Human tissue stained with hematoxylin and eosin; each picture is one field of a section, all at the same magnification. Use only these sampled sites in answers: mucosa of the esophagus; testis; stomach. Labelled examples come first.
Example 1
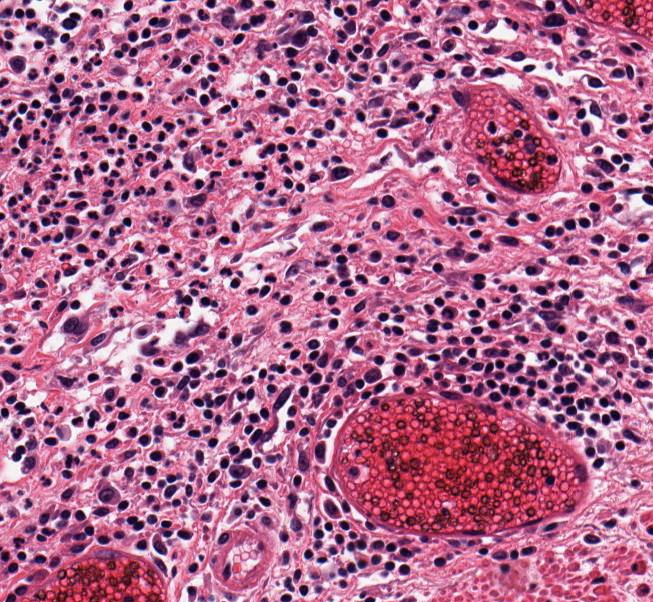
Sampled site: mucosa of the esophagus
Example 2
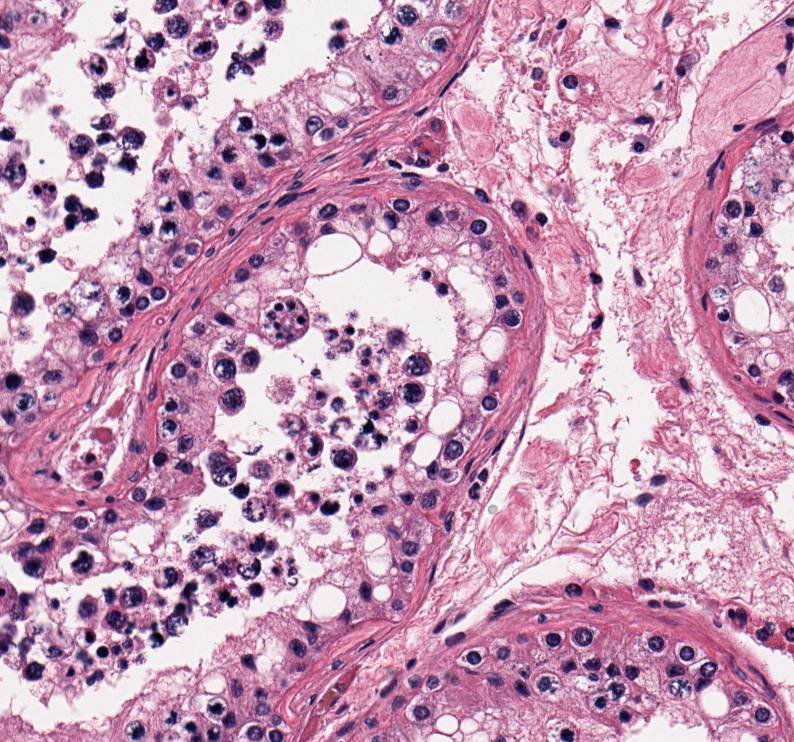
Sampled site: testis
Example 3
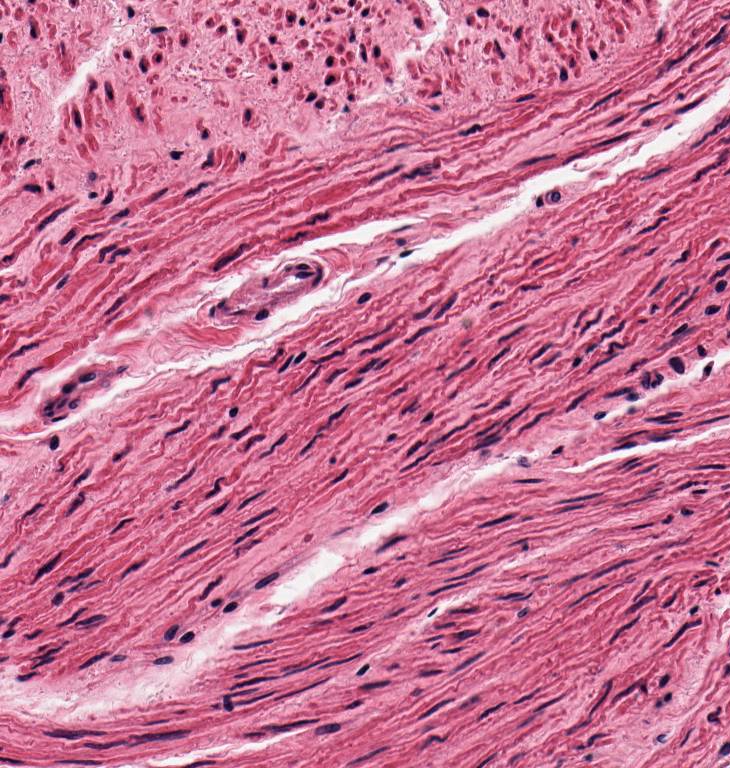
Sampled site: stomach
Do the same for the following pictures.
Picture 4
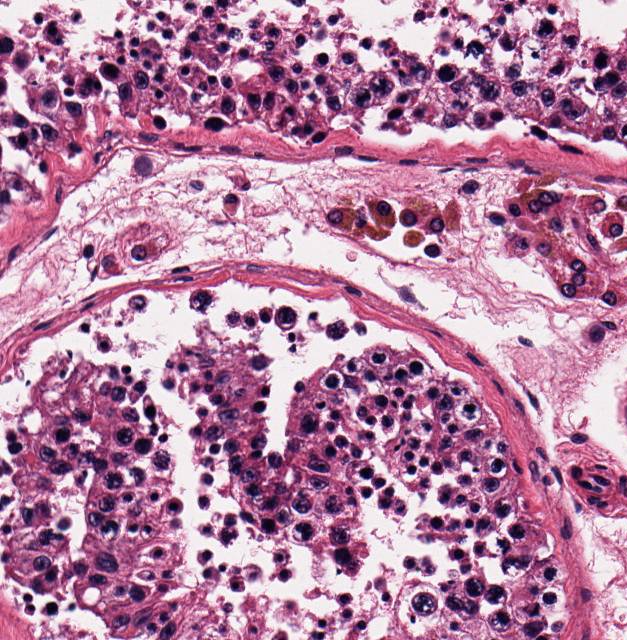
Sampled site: testis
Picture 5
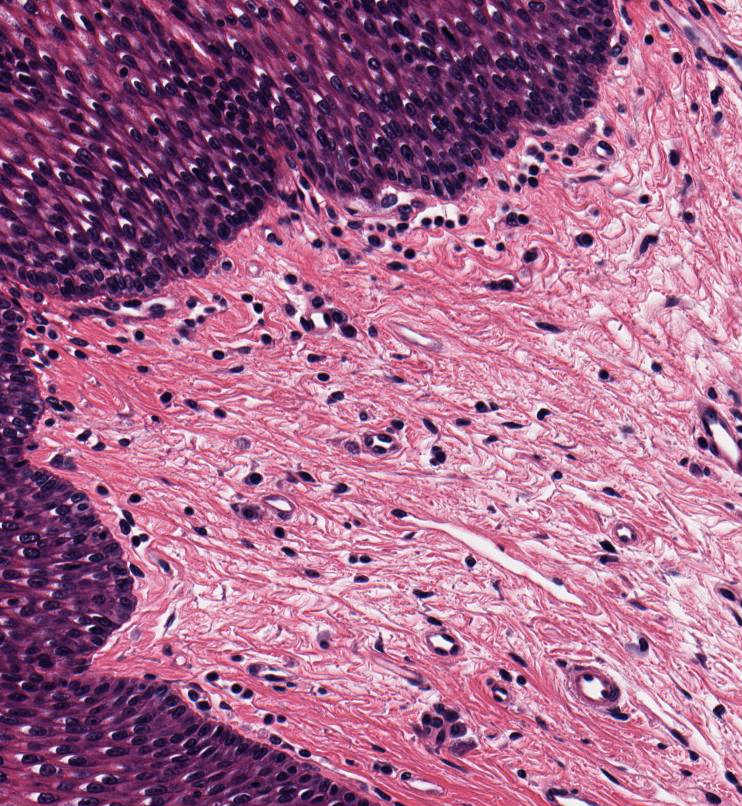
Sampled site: mucosa of the esophagus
